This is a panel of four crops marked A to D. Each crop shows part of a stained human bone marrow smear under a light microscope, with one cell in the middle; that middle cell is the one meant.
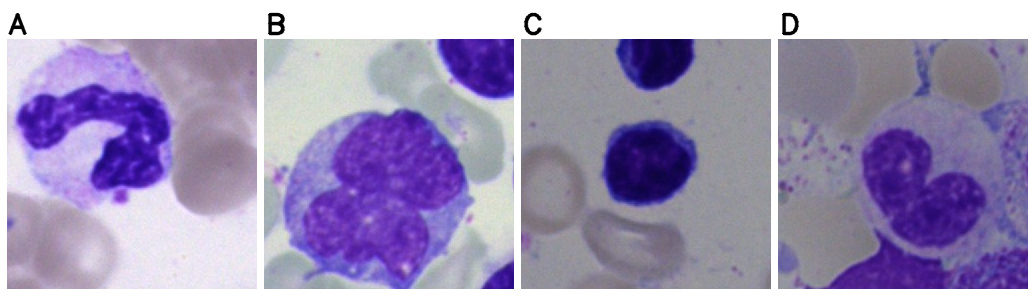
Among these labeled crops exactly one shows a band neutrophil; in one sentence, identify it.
The cell at the center of crop D is the one that is a band neutrophil.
